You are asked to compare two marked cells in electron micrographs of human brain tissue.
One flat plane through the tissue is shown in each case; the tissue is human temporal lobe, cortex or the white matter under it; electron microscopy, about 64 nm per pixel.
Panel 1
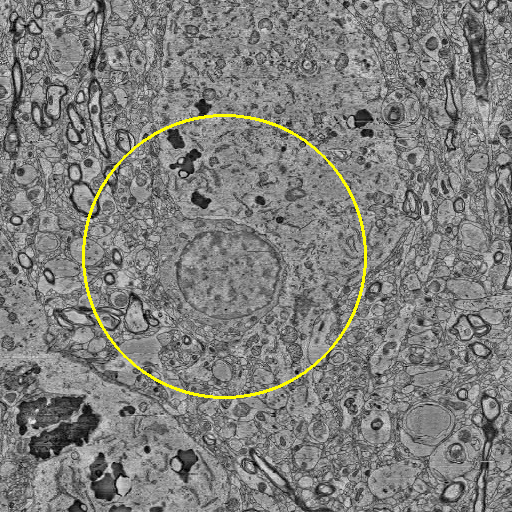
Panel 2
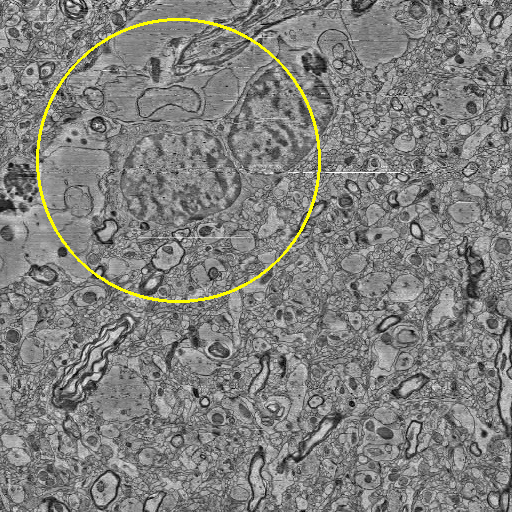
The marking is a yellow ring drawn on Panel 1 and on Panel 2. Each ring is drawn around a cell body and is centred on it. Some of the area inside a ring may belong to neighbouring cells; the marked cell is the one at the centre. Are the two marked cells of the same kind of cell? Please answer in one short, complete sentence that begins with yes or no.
Yes, the two marked cells are of the same kind.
